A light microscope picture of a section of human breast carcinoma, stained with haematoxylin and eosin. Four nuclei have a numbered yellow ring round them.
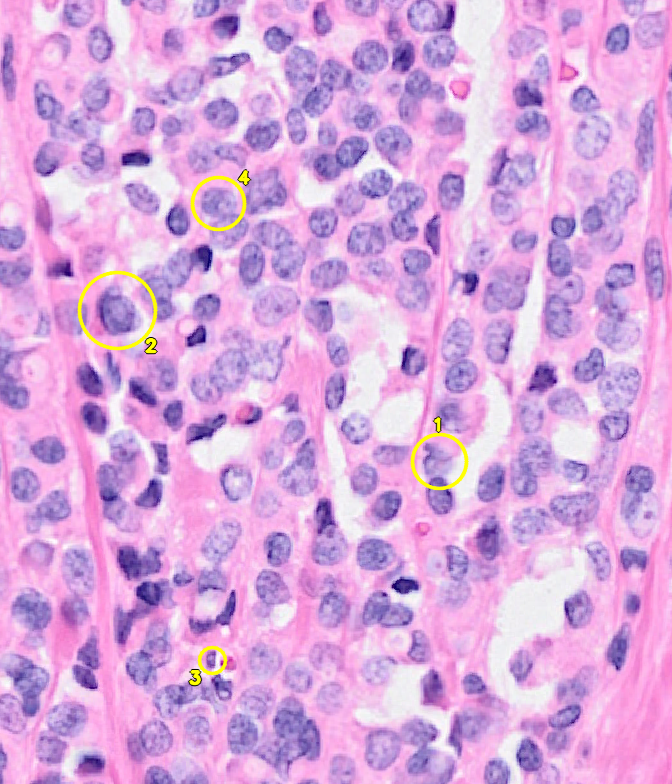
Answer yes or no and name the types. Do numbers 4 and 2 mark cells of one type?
Yes, both are carcinoma cells.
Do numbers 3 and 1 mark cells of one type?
No, cell 3 is an endothelial cell and cell 1 is a carcinoma cell.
